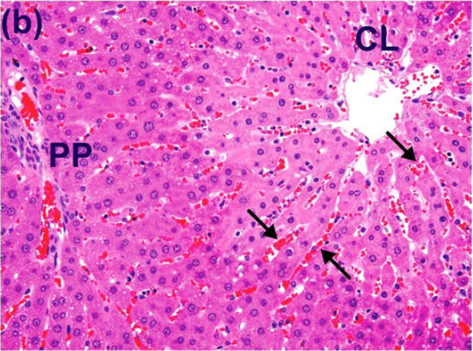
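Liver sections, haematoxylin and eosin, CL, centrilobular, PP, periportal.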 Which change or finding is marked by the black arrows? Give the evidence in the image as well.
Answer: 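The arrows point at sinusoids filled with bright red blood cells. These red-filled sinusoids radiate from the central vein between hepatocyte plates. That points to this answer: sinusoidal congestion.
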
